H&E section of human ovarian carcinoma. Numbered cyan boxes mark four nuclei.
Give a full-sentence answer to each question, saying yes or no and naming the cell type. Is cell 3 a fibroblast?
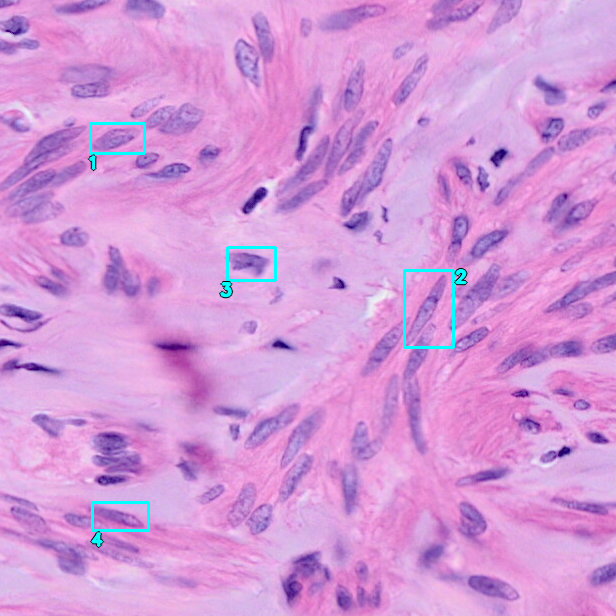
Yes, the numbered cell 3 is identified as a fibroblast.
